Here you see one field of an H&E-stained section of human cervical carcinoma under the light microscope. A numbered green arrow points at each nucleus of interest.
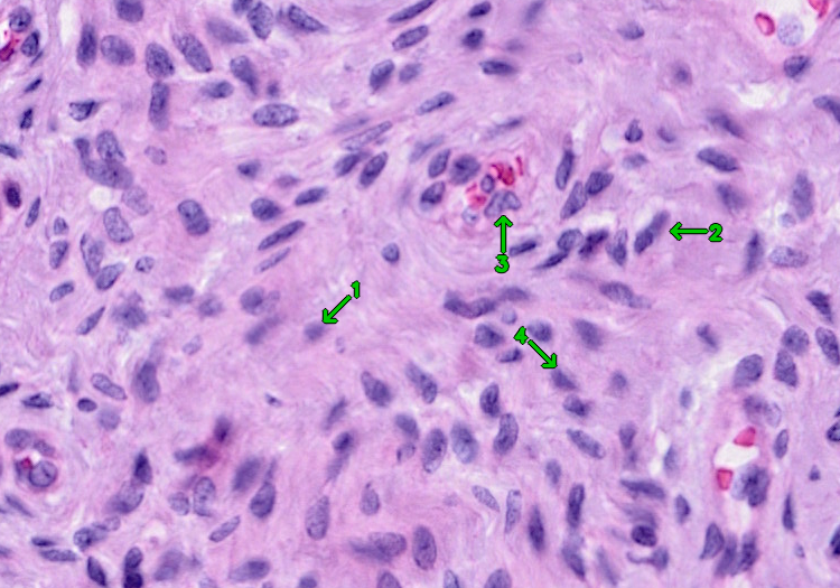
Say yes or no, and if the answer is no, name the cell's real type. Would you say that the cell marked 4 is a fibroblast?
Yes.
